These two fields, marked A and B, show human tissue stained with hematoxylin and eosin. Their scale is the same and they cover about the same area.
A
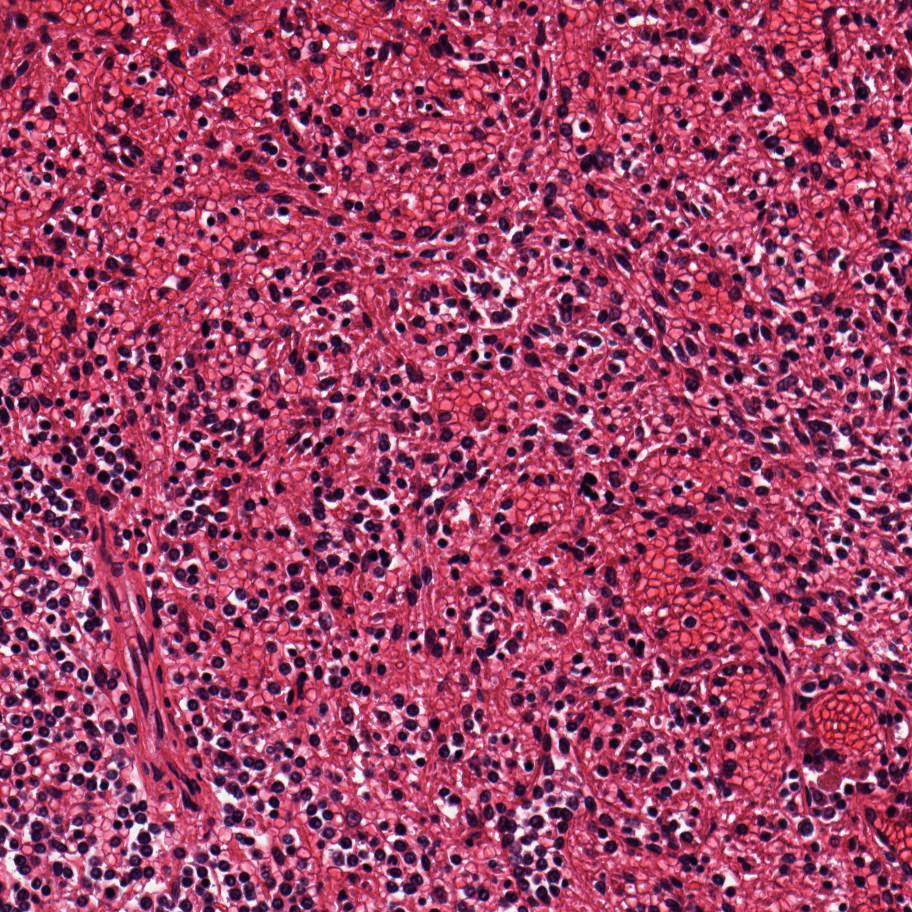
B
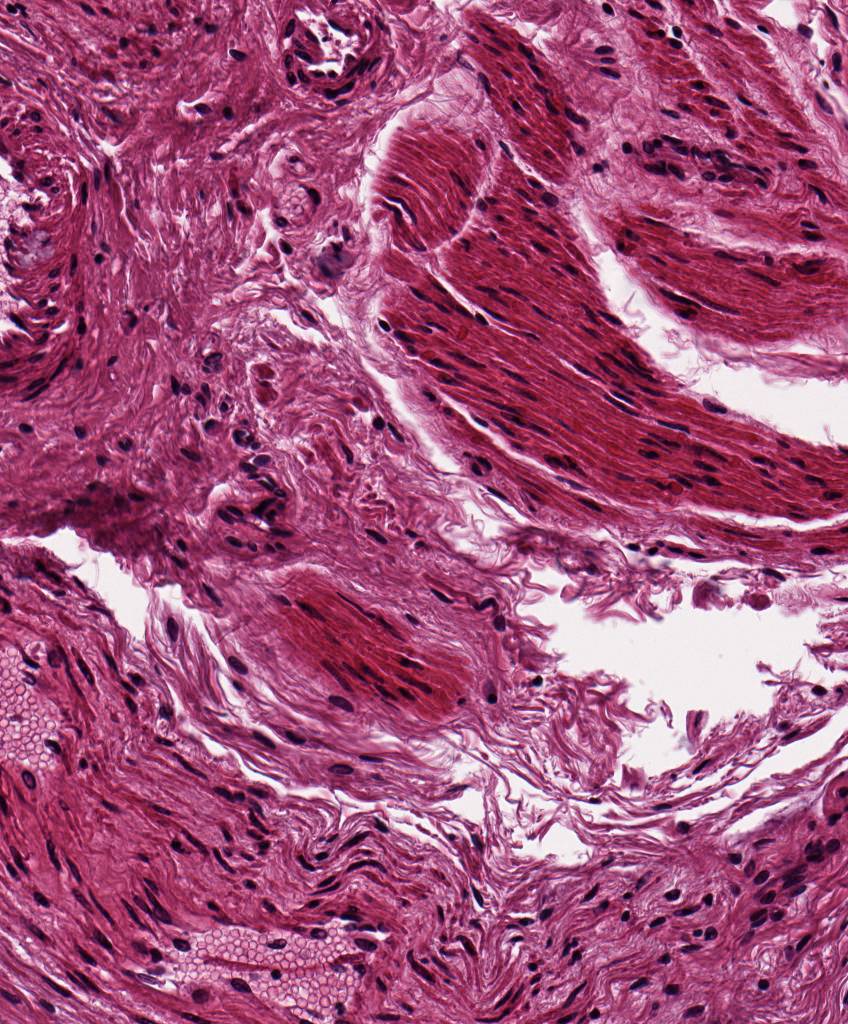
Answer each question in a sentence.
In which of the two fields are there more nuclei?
More nuclei lie in field A than in field B.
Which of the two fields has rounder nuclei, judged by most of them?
On the whole the nuclei of field A are rounder than those of field B.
